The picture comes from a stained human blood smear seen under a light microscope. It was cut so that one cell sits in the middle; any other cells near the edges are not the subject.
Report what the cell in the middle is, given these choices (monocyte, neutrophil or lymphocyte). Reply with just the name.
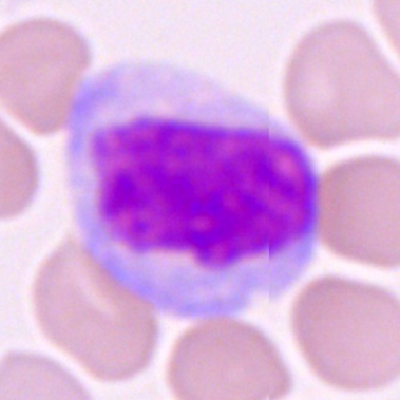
monocyte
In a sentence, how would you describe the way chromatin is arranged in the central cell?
The chromatin of this one is coarsely clumped.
